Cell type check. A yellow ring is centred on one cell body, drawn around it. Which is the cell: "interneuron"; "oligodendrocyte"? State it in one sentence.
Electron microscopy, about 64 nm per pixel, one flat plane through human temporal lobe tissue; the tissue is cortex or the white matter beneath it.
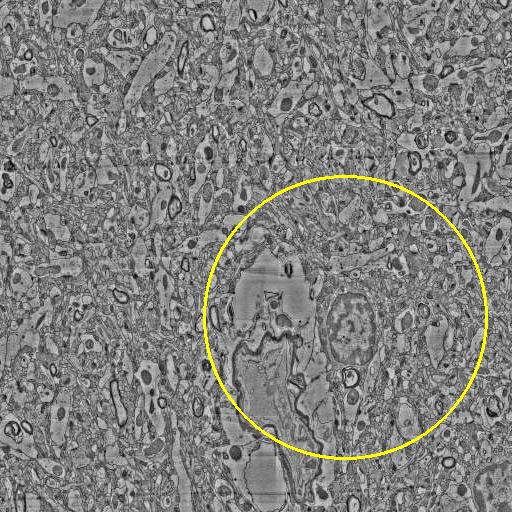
The cell body at the ring's centre belongs to an oligodendrocyte.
